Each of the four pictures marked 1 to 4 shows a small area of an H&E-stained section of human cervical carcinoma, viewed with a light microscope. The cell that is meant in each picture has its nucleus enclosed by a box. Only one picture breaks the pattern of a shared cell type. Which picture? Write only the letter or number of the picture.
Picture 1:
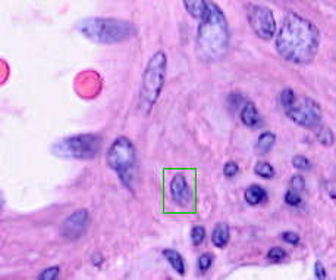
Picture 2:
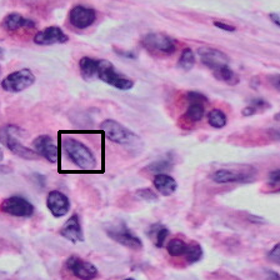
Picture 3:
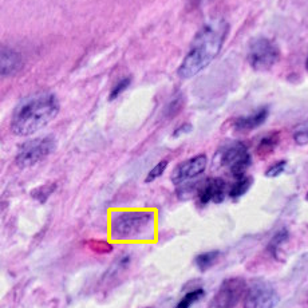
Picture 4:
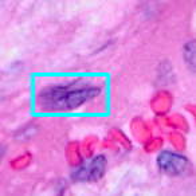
1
